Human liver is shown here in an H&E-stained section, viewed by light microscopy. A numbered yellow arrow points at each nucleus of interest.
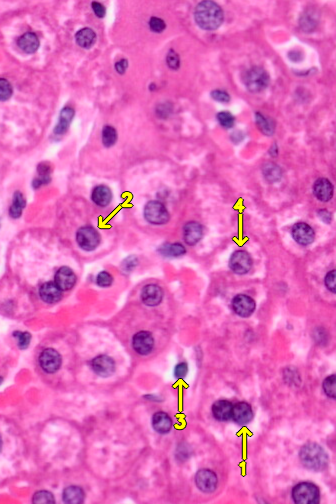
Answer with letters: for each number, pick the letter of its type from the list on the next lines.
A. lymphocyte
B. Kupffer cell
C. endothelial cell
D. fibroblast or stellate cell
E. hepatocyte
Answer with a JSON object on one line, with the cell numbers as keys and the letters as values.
{"1": "E", "2": "E", "3": "A", "4": "E"}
